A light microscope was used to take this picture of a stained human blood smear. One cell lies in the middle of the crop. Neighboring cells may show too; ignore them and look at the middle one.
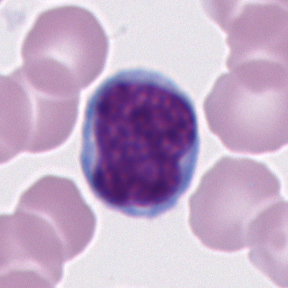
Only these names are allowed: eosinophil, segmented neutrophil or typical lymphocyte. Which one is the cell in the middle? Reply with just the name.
typical lymphocyte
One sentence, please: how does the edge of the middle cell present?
The border of this cell runs smooth and free of any projections.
